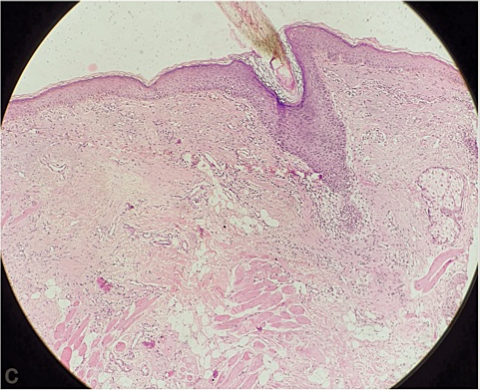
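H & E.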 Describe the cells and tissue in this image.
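Low-power section of skin with a thin epidermis and a hair follicle seen through a round microscope field. The epidermis across the top is a narrow purple band with a flat junction to the dermis. Near the centre a brown hair shaft enters a funnel-shaped follicular opening; below it the follicular epithelium forms a purple column that narrows downward into the dermis. The dermis is pale pink with loose, irregular collagen and scattered small vessels; deeper, pink bundles of muscle and a pale lobule of gland tissue at right are visible toward the bottom.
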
